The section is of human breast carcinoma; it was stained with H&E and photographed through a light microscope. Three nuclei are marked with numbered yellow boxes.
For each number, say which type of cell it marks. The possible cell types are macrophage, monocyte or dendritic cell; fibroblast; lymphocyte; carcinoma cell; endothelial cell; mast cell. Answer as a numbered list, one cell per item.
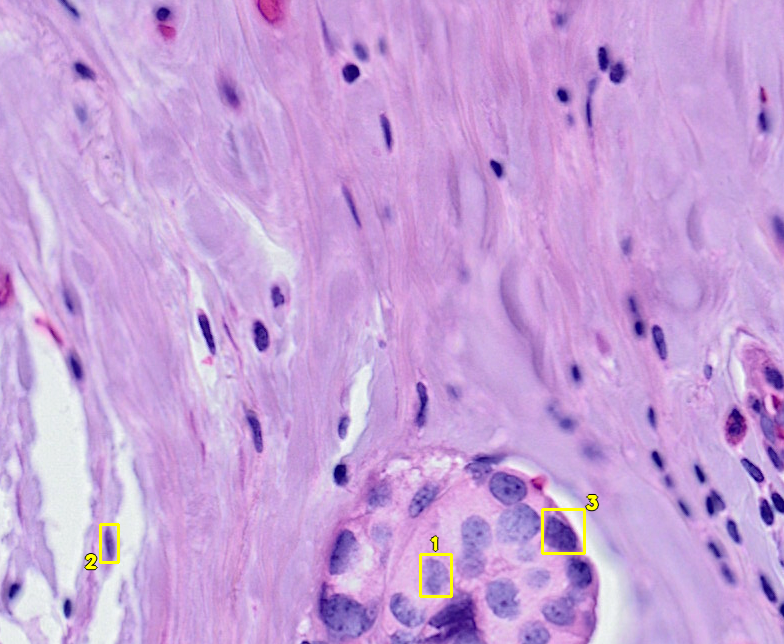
1. carcinoma cell
2. fibroblast
3. carcinoma cell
